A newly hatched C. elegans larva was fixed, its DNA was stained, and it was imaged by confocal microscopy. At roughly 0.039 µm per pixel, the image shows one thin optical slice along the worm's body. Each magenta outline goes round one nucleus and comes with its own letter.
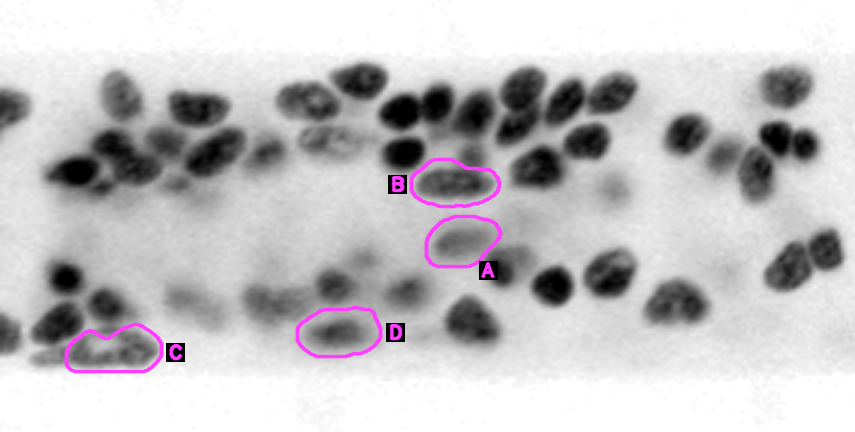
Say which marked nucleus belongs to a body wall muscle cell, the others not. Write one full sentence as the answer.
D is from a body wall muscle cell.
